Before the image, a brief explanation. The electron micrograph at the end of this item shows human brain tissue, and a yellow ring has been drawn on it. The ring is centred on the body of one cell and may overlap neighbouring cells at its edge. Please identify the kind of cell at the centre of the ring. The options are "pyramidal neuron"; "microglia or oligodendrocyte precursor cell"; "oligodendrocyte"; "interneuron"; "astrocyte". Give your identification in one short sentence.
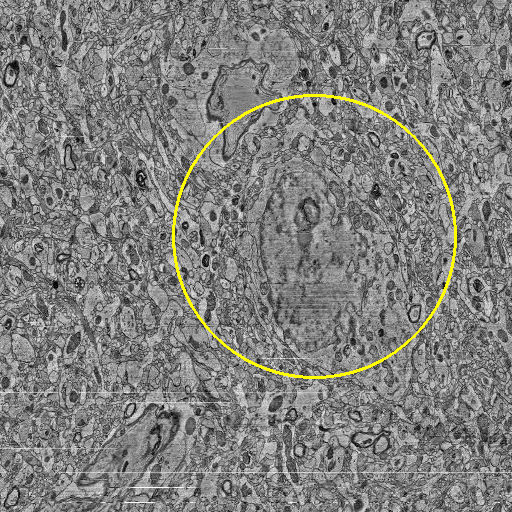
The ring has been placed around an interneuron.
